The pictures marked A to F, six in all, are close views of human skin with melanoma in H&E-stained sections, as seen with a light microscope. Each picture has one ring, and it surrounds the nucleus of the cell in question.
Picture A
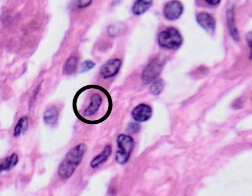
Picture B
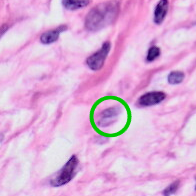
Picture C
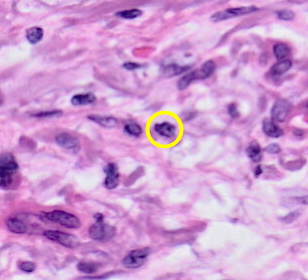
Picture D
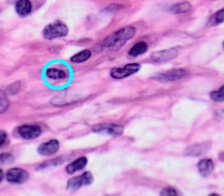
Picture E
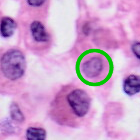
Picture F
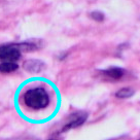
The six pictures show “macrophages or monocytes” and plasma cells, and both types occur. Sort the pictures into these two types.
A: macrophage or monocyte
B: macrophage or monocyte
C: plasma cell
D: plasma cell
E: macrophage or monocyte
F: plasma cell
